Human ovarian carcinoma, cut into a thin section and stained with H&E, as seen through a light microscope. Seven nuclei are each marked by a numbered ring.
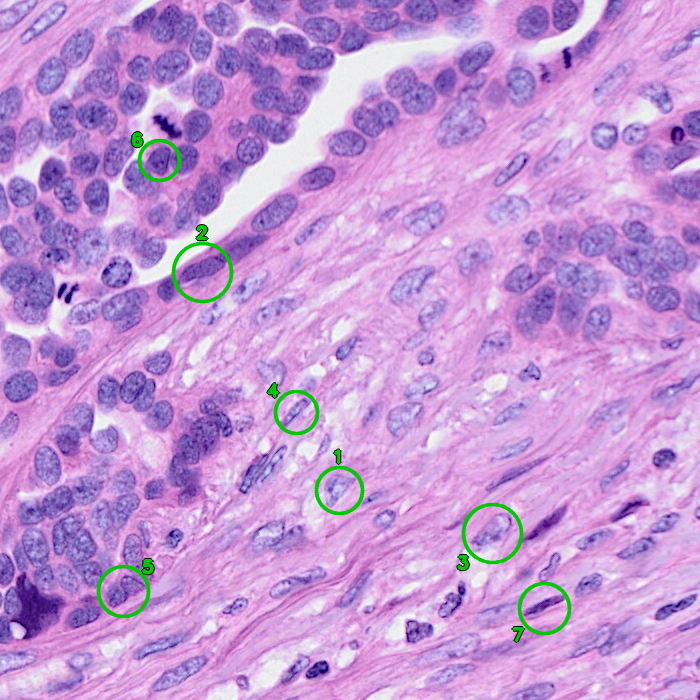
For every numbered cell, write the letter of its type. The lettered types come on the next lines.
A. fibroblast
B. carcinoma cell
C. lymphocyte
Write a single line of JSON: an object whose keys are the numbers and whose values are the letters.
{"1": "A", "2": "B", "3": "A", "4": "A", "5": "B", "6": "B", "7": "A"}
